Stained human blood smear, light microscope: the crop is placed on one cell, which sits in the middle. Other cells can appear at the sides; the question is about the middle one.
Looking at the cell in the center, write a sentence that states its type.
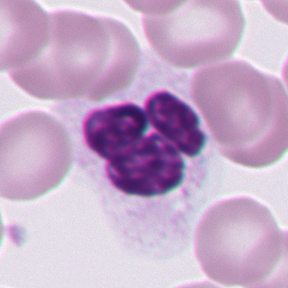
The cell the crop is centered on is a segmented neutrophil.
